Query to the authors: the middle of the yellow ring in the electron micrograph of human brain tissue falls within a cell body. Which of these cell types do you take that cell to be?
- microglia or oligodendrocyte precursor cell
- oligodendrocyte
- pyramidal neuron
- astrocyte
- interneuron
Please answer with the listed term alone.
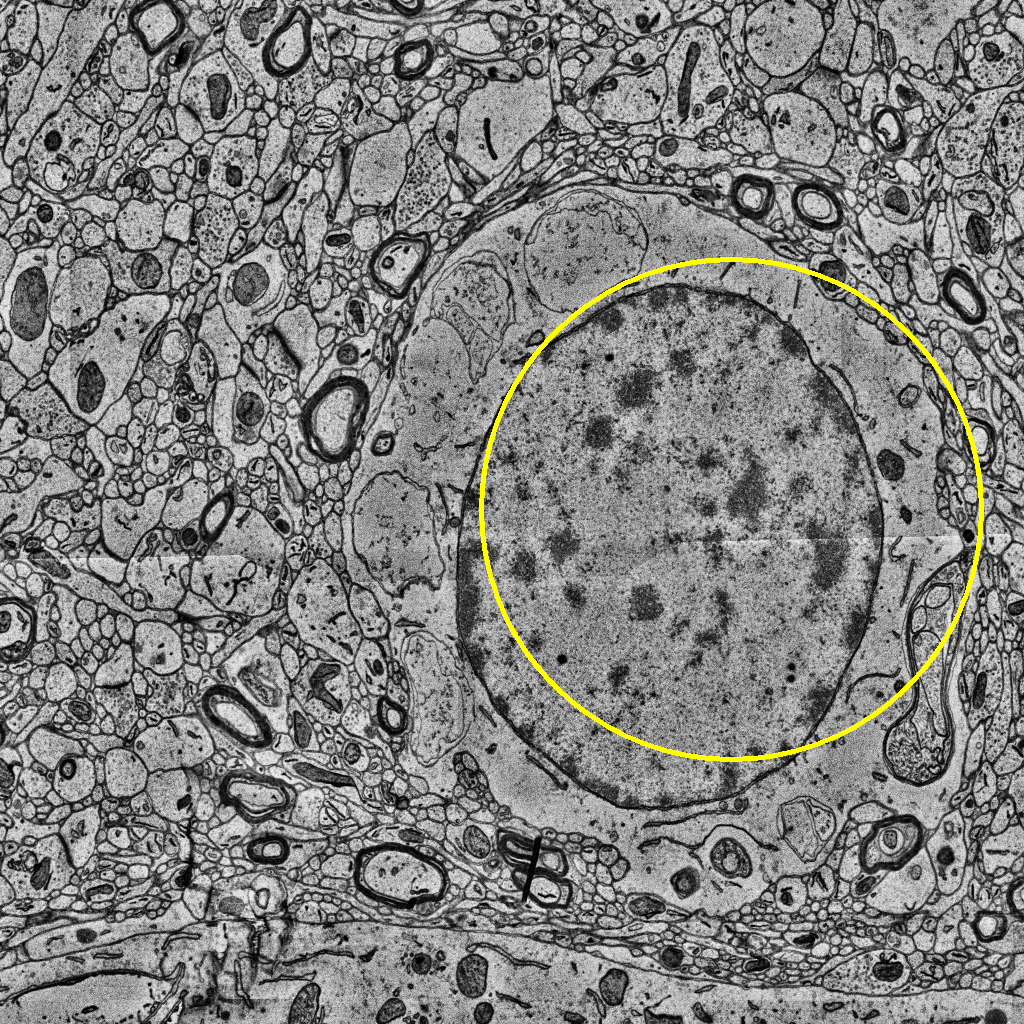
astrocyte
